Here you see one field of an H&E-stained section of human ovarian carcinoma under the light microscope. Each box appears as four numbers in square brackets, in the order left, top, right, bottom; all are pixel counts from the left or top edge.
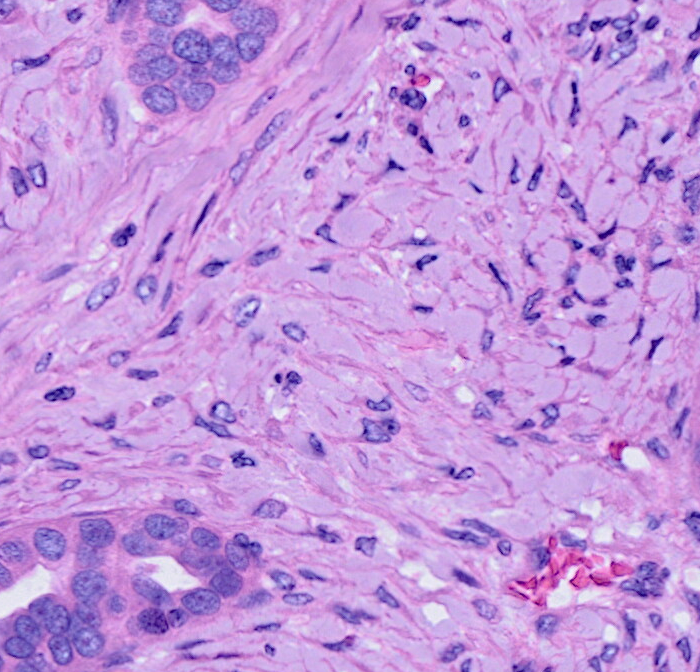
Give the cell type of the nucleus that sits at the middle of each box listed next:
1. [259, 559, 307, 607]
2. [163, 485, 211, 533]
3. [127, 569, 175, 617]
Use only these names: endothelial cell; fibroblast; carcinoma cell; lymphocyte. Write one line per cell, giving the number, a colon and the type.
1: fibroblast
2: fibroblast
3: carcinoma cell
